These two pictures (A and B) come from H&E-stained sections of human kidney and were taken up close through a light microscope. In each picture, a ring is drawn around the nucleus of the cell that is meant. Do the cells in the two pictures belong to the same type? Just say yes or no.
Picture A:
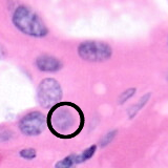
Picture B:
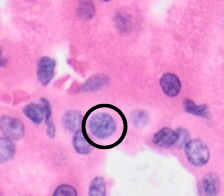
yes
